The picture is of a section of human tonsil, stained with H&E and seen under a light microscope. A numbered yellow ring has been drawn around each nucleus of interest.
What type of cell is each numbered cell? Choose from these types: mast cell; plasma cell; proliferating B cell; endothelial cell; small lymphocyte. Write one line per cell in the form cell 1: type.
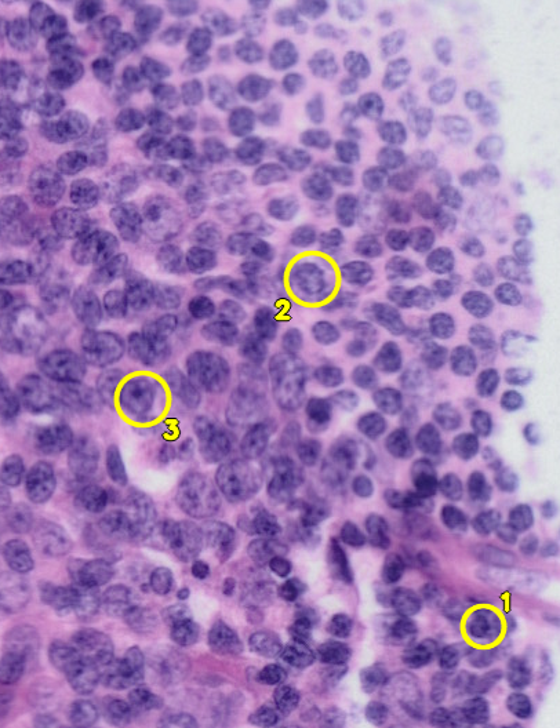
cell 1: small lymphocyte
cell 2: proliferating B cell
cell 3: proliferating B cell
